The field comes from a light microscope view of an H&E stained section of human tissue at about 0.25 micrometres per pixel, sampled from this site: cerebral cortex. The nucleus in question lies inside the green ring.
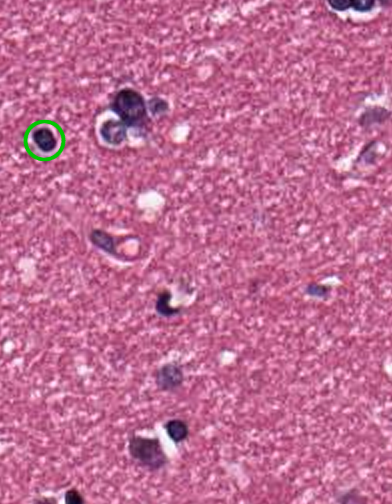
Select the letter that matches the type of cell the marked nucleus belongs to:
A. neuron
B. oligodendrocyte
B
